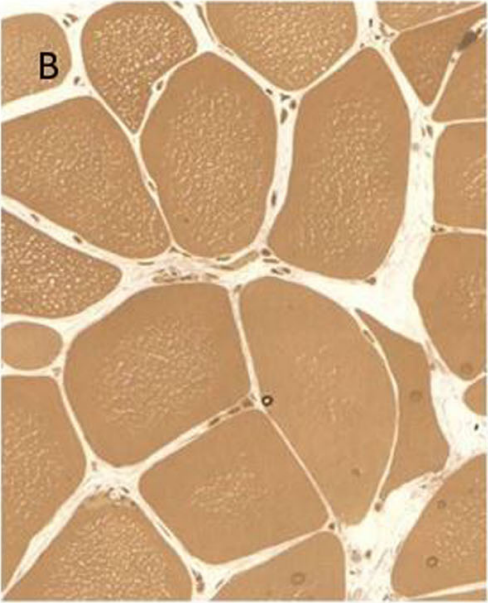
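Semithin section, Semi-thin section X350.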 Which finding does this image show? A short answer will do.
Small vacuoles.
